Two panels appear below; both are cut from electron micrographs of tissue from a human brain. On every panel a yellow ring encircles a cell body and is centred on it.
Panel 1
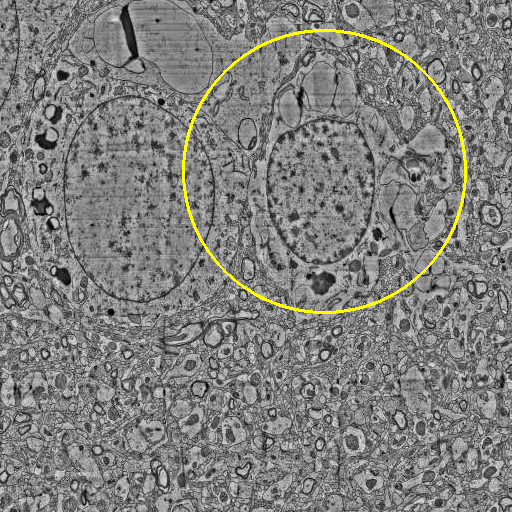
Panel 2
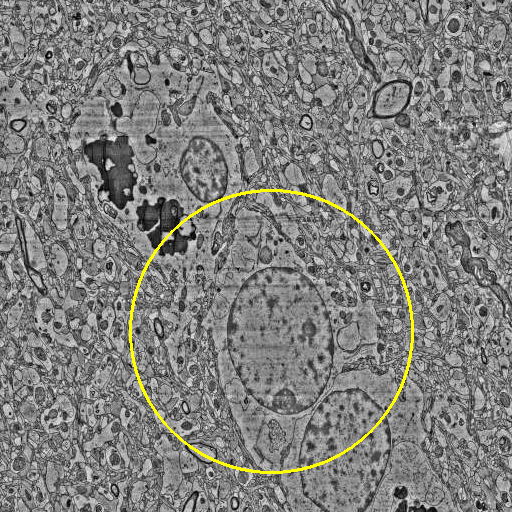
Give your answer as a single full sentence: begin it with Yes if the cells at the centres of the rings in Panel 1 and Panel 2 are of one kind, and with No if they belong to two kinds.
Yes, the cells in the middle of the rings in Panels 1 and 2 are of one kind.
